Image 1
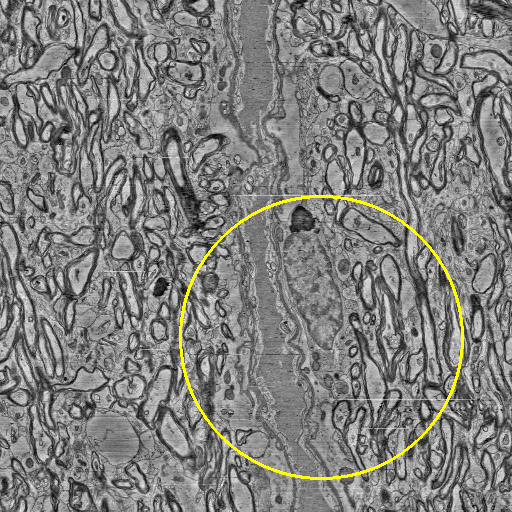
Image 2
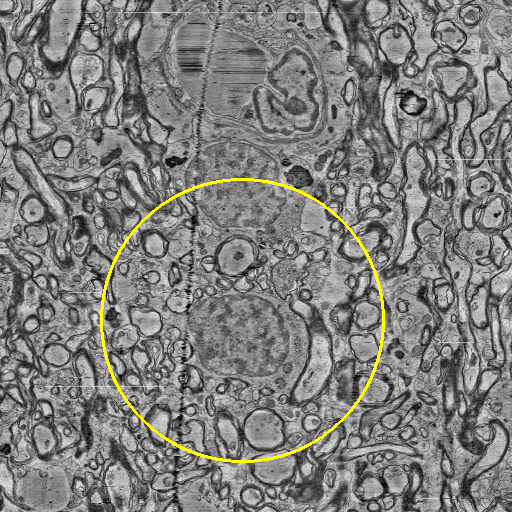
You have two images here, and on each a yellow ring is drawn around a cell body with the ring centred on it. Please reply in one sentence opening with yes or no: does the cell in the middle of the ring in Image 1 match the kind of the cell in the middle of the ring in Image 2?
Yes, the two images show cells of one kind at the centres of their rings.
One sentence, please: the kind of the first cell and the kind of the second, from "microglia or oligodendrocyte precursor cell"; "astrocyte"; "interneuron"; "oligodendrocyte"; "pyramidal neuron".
In each of the two pictures, the ringed cell is an oligodendrocyte.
